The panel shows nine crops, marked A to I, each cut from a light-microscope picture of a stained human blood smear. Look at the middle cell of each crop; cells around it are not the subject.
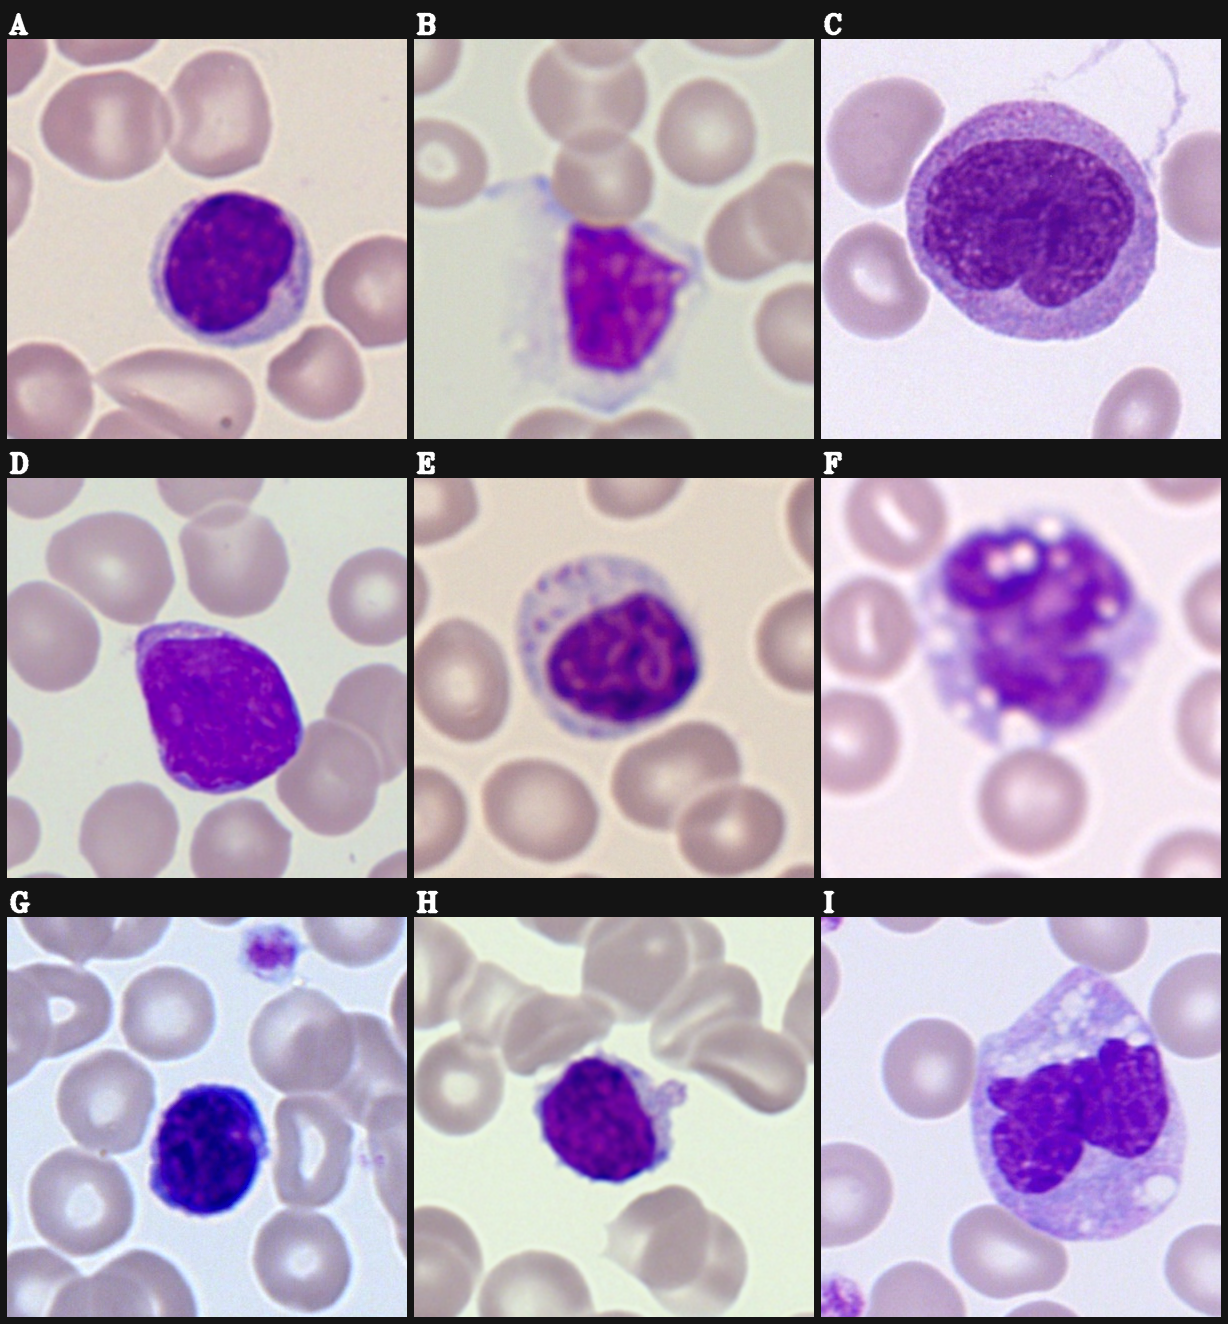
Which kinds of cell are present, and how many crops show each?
lymphocyte: 5
blast: 2
monocyte: 2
